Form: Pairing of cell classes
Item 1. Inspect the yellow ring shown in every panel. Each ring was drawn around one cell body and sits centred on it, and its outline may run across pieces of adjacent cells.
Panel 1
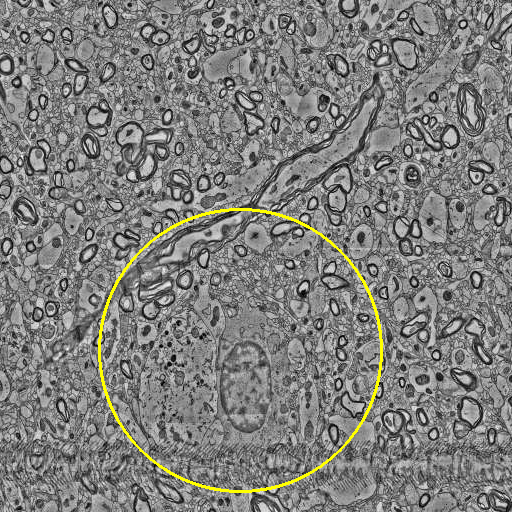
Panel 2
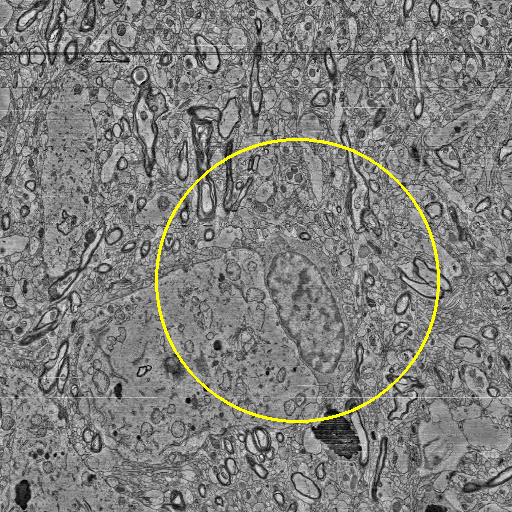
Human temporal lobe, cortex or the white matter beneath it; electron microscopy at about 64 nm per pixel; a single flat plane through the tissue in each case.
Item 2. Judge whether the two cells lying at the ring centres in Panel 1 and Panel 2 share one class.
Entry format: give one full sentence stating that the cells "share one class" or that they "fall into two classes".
The cells at the ring centres in Panel 1 and Panel 2 share one class.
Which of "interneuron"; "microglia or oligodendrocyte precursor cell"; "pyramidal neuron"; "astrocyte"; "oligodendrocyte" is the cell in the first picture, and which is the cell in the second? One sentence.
In each of the two pictures, the ringed cell is an oligodendrocyte.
